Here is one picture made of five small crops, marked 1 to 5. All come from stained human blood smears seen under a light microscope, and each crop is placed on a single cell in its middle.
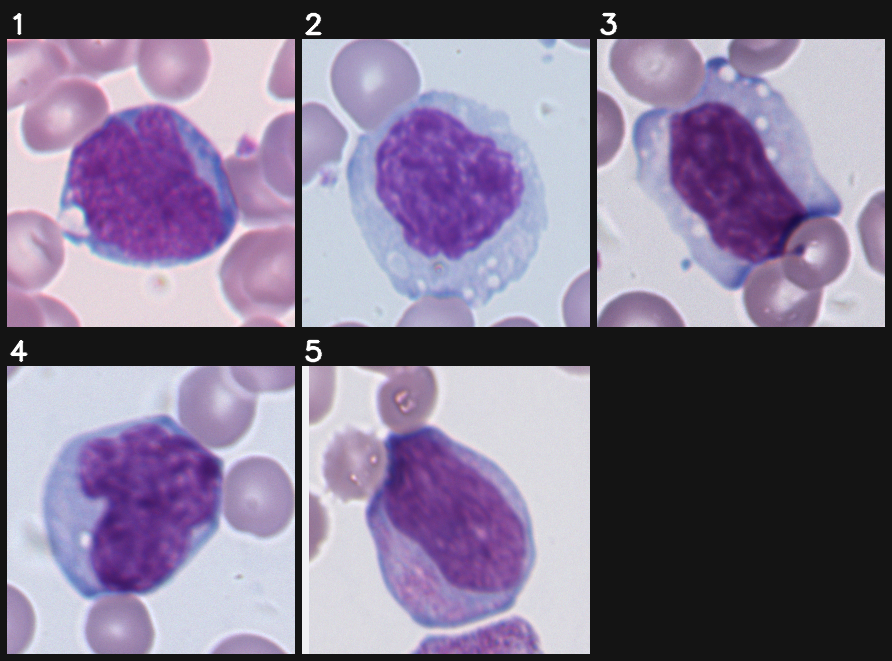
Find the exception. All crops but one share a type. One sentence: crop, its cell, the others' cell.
Crop 5 holds an atypical promyelocyte, unlike the remaining crops, all of which hold myeloblasts.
